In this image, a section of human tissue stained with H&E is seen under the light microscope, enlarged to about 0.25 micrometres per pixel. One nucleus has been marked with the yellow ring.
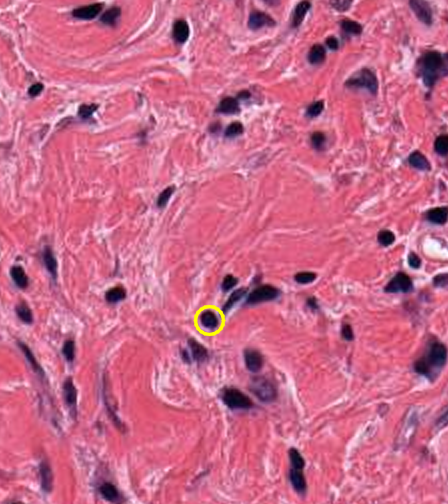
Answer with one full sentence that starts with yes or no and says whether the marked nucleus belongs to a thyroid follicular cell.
No, the cell bearing the marked nucleus is not a thyroid follicular cell but a supporting cell.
